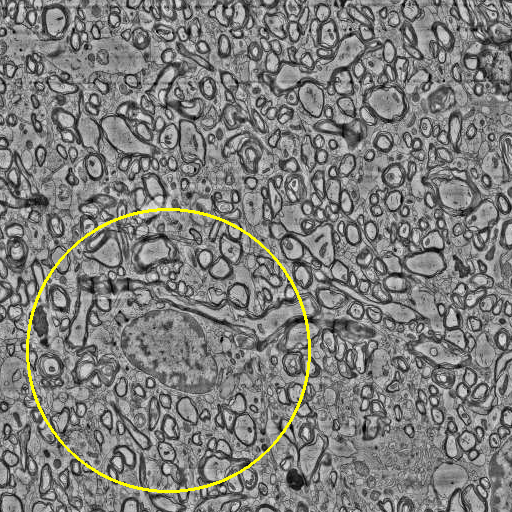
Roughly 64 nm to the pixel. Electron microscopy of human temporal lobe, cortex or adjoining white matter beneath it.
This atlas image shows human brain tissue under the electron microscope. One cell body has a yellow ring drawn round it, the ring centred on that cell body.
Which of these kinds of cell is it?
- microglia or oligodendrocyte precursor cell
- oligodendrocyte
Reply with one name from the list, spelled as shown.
microglia or oligodendrocyte precursor cell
